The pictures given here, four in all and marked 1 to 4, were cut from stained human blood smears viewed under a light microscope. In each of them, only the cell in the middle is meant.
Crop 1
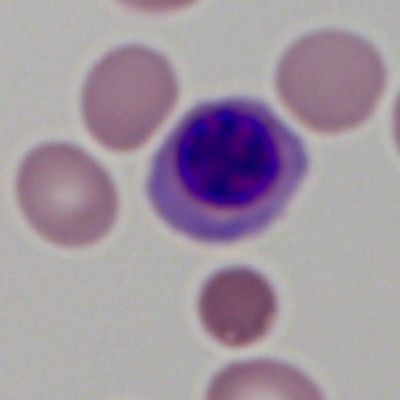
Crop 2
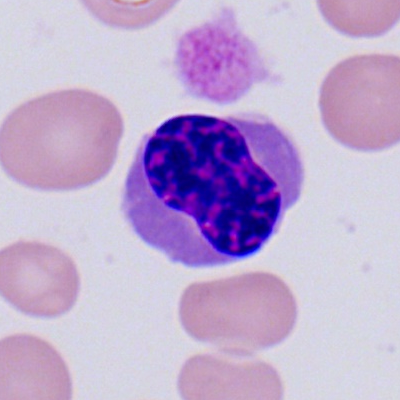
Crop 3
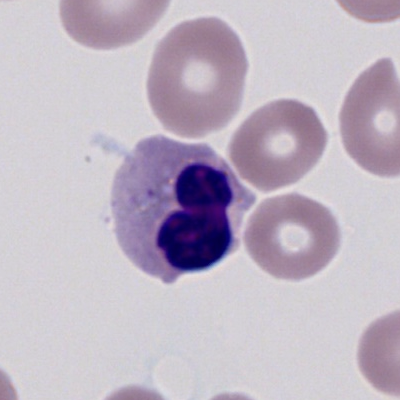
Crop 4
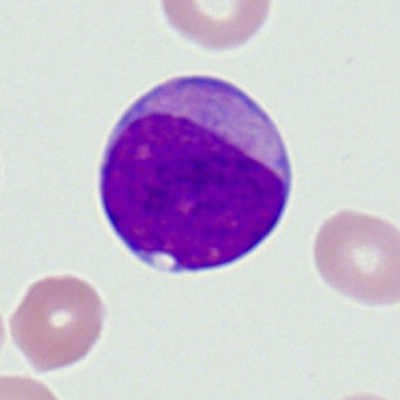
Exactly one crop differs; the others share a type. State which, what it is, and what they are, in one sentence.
Crop 4 stands apart as a myeloblast, whereas the remaining crops all show normoblasts.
